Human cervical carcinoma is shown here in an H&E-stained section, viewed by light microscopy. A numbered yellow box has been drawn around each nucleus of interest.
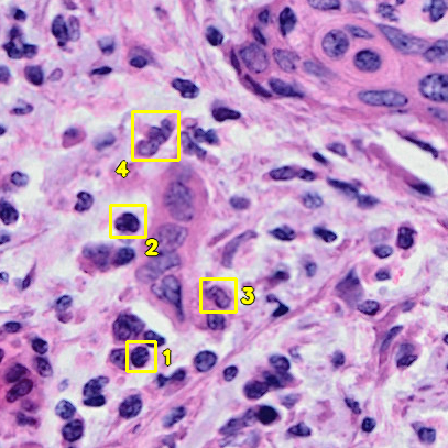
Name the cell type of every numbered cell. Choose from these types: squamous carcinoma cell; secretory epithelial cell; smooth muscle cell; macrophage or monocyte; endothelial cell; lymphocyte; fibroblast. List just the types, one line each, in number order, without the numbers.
lymphocyte
lymphocyte
macrophage or monocyte
macrophage or monocyte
